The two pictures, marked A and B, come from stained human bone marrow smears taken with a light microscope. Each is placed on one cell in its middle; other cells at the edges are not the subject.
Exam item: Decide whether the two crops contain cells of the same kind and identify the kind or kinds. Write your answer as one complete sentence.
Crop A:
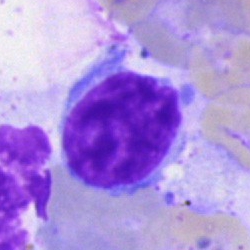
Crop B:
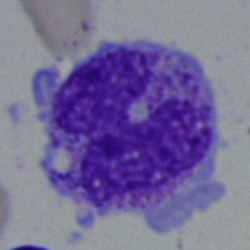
No, crop A is home to a lymphocyte, and crop B to a monocyte.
